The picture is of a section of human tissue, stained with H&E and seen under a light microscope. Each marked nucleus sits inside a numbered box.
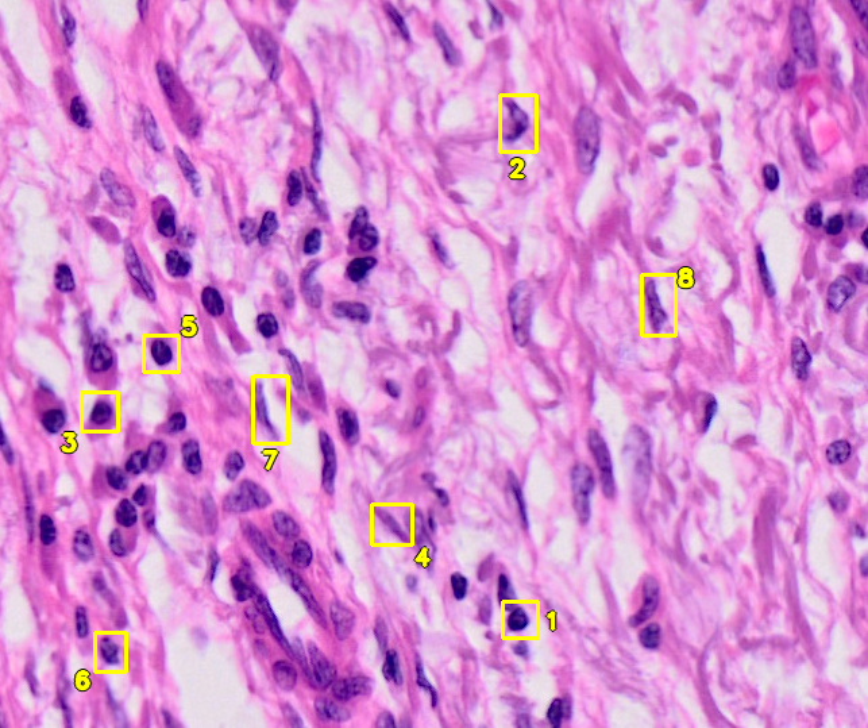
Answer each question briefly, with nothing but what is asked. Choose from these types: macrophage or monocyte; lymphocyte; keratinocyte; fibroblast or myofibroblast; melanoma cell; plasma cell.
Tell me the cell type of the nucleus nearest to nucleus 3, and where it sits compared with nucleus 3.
a plasma cell, to the left of nucleus 3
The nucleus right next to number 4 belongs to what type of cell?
fibroblast or myofibroblast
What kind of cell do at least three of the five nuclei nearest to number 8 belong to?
fibroblast or myofibroblast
